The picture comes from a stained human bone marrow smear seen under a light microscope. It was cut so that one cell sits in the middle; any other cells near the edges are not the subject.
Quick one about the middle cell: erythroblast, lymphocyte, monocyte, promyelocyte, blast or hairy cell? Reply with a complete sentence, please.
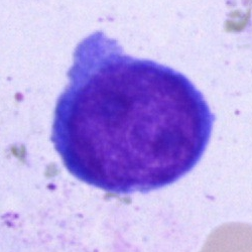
The single cell at the center of the crop is a blast.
